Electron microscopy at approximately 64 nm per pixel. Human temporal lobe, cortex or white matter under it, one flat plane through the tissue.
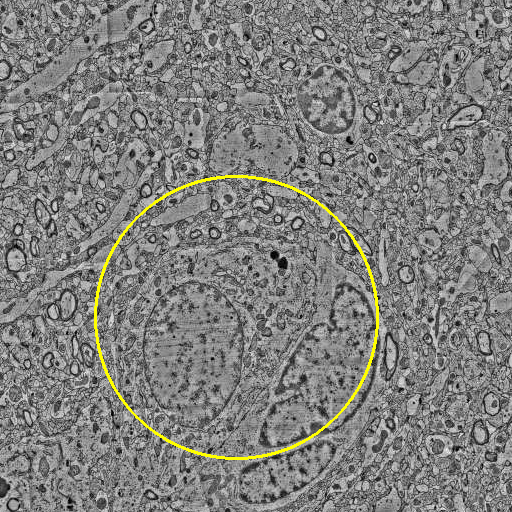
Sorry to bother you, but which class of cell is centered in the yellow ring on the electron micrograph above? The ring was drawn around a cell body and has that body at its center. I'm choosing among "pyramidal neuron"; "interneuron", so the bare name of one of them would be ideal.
interneuron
